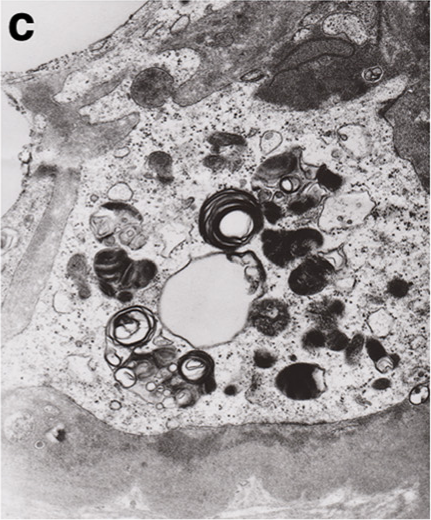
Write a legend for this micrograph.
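This is an electron micrograph of a cell crowded with cytoplasmic inclusions. Several are round bodies of tightly stacked concentric membranes, the lamellated lipid inclusions called myeloid bodies. Beside them lie homogeneous dark dense bodies and one large clear vacuole. A grey band of matrix runs along the lower edge of the cell.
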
